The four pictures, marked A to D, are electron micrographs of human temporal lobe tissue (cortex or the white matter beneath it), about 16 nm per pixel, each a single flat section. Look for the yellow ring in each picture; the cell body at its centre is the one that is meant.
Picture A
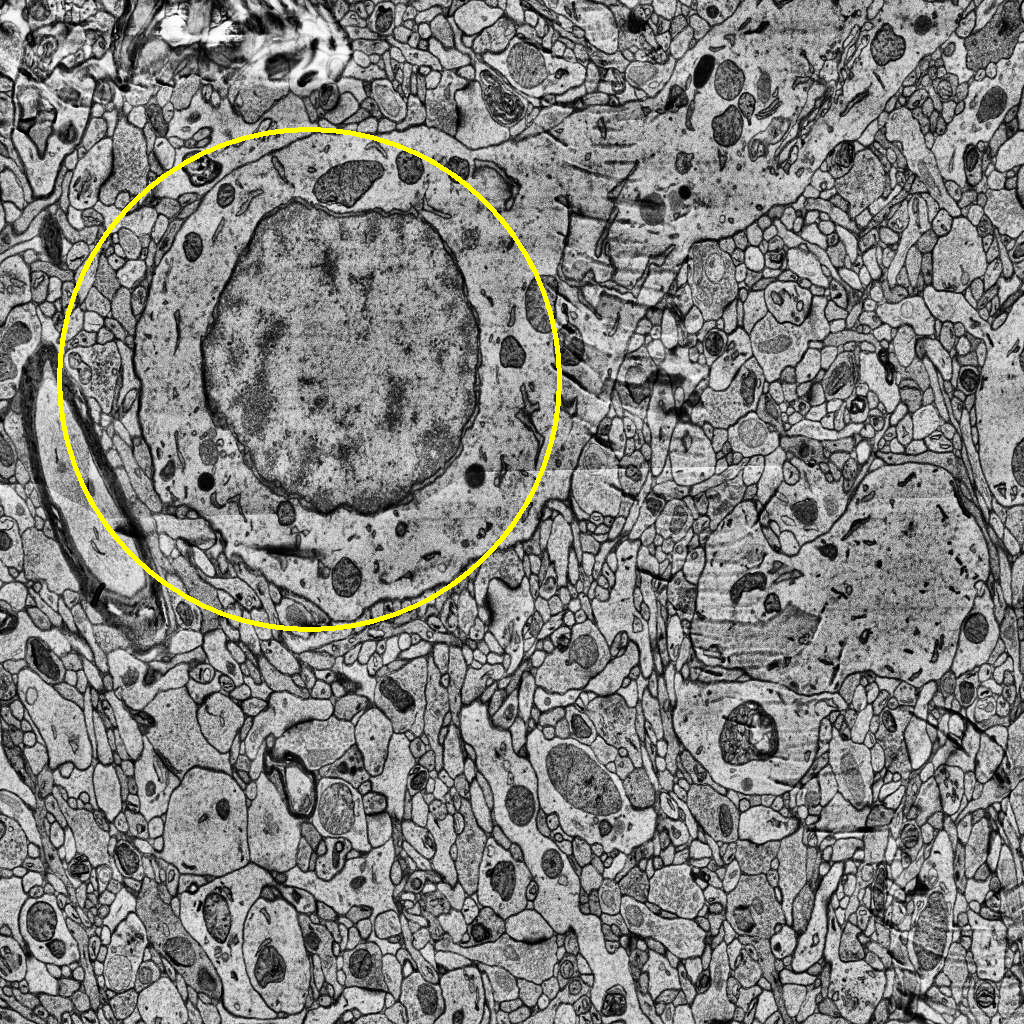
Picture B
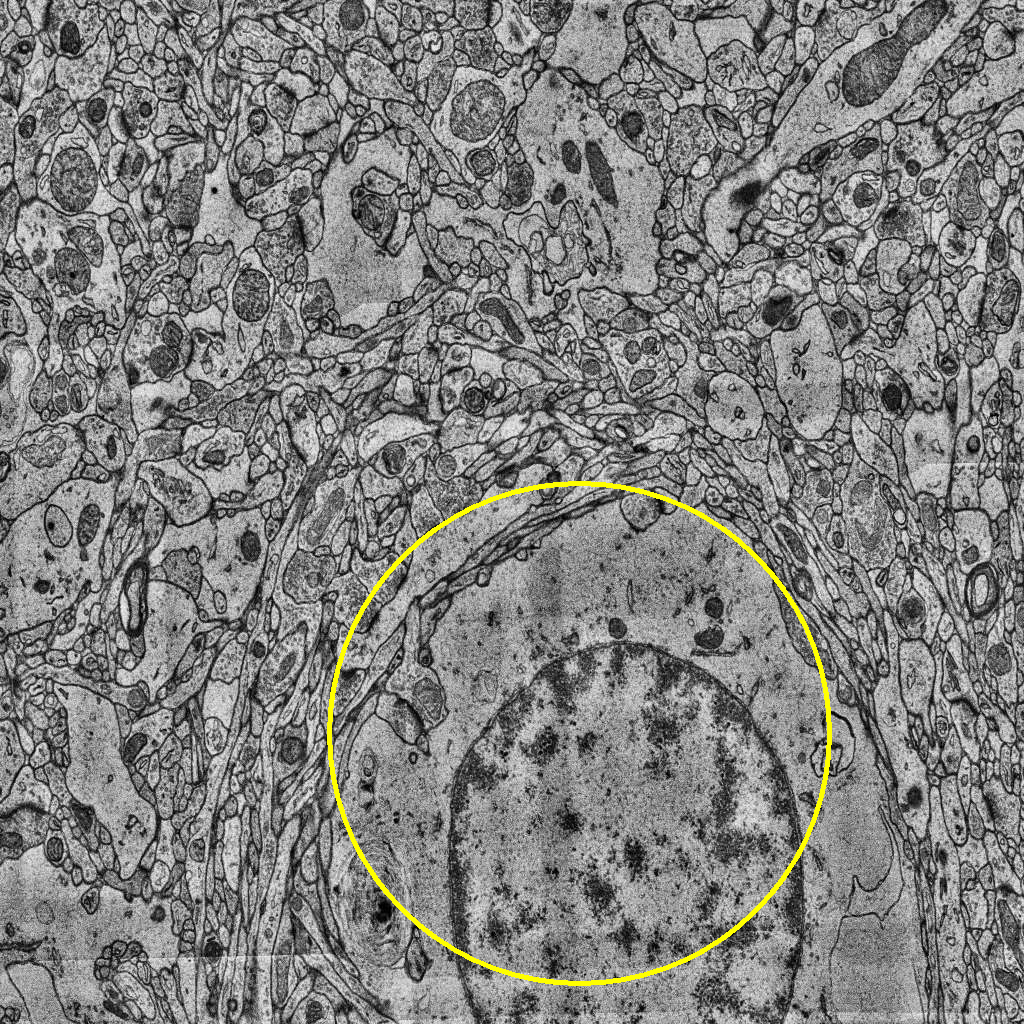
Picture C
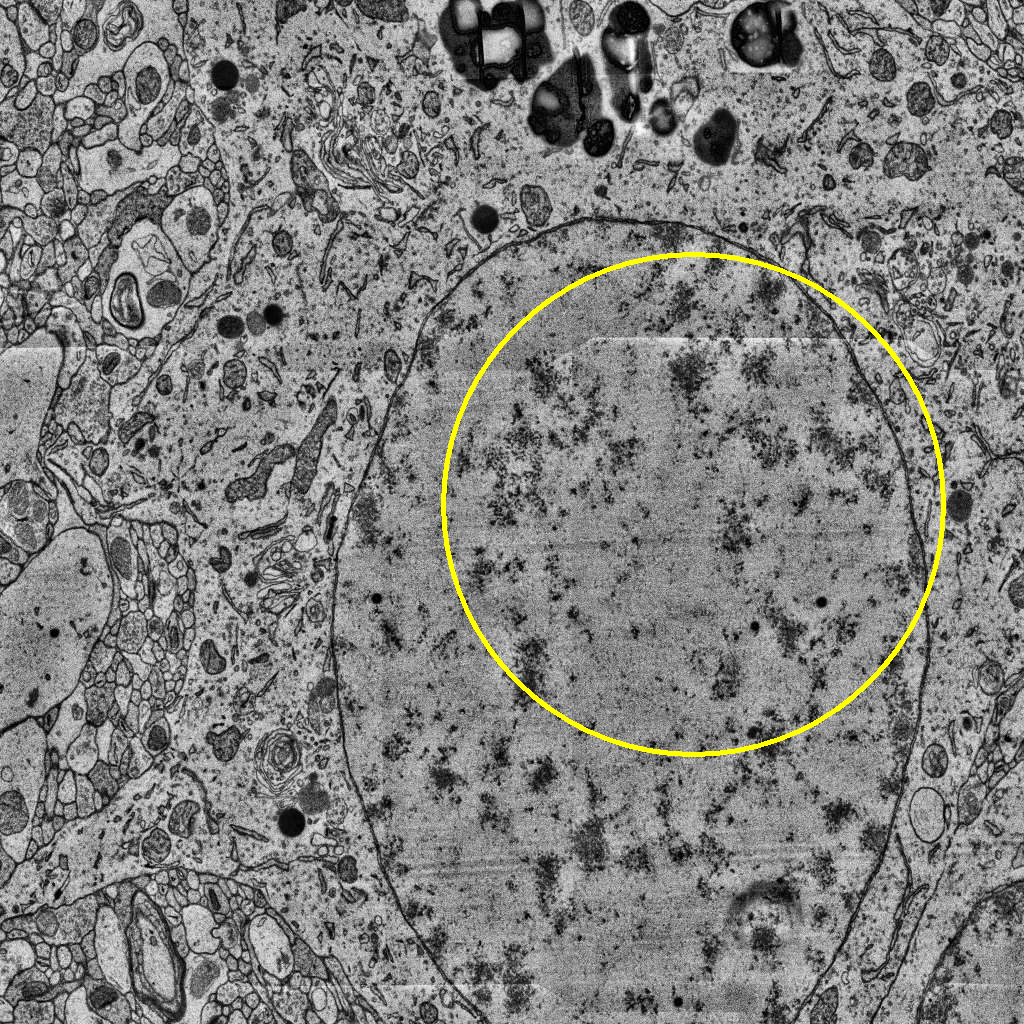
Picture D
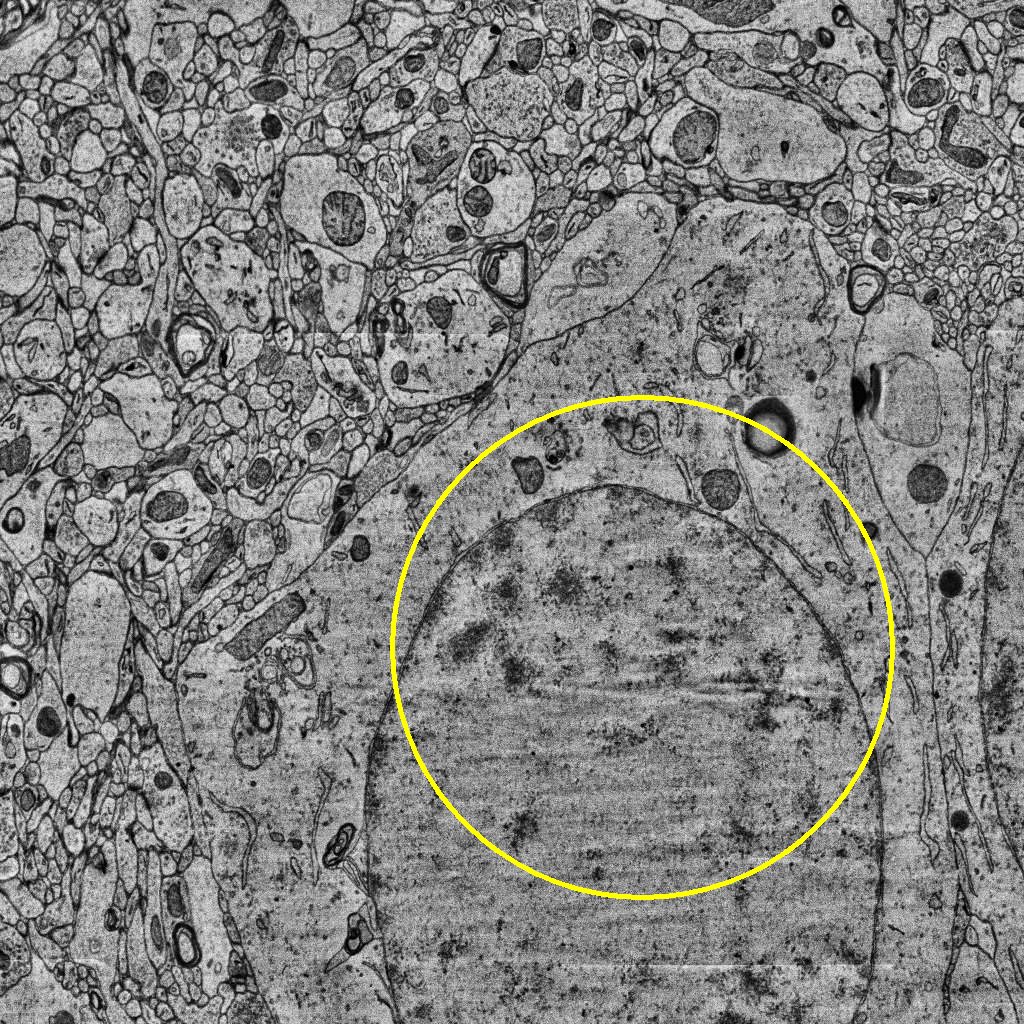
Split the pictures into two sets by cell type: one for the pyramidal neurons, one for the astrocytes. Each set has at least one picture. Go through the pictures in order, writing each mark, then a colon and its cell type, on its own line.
A: pyramidal neuron
B: astrocyte
C: pyramidal neuron
D: pyramidal neuron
